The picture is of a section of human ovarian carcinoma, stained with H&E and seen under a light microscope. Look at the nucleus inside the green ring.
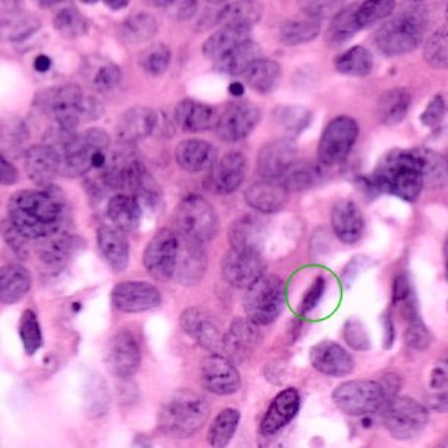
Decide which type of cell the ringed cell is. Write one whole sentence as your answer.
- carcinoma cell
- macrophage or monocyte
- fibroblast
The ringed cell appears to be a carcinoma cell.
